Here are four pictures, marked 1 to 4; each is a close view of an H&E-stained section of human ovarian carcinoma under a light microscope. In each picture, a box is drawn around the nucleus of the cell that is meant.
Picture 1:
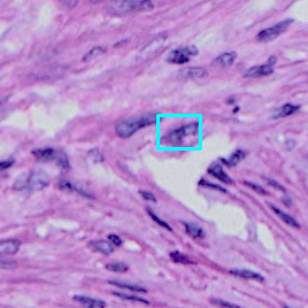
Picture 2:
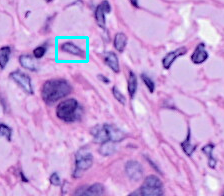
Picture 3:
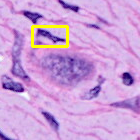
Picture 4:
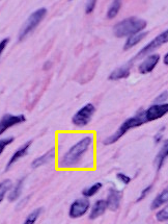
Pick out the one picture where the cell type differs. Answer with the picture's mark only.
4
